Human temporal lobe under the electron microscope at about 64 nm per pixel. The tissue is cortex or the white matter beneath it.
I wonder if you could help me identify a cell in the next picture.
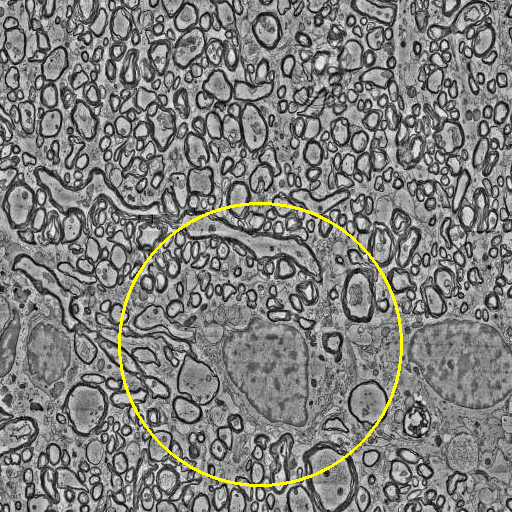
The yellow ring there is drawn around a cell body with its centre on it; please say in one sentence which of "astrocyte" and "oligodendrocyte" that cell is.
The yellow ring is centred on an oligodendrocyte.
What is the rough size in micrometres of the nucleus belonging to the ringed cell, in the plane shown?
The nucleus measures about 7 by 5 micrometres in this plane.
